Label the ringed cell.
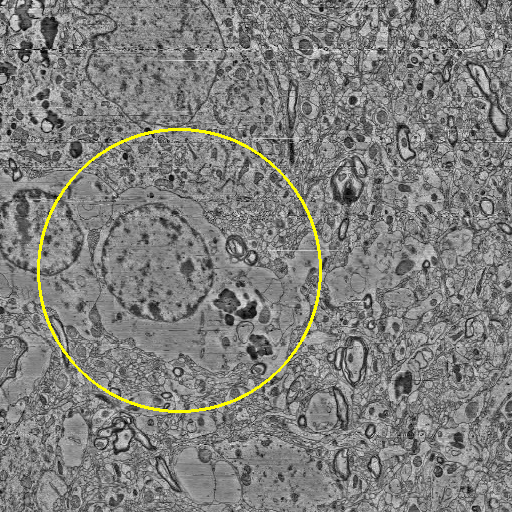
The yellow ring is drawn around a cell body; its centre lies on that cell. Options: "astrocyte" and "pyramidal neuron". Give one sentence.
The ringed cell is an astrocyte.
